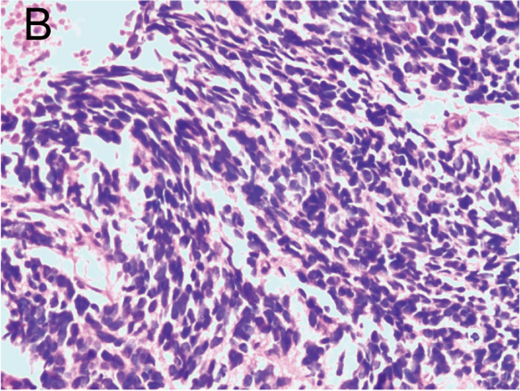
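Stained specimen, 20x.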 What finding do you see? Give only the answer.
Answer: Short fusiform.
